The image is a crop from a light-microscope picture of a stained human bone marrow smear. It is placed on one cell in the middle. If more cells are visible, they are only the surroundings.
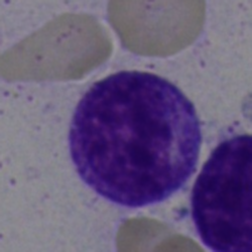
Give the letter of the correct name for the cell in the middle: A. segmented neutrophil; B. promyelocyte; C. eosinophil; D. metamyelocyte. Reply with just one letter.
D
